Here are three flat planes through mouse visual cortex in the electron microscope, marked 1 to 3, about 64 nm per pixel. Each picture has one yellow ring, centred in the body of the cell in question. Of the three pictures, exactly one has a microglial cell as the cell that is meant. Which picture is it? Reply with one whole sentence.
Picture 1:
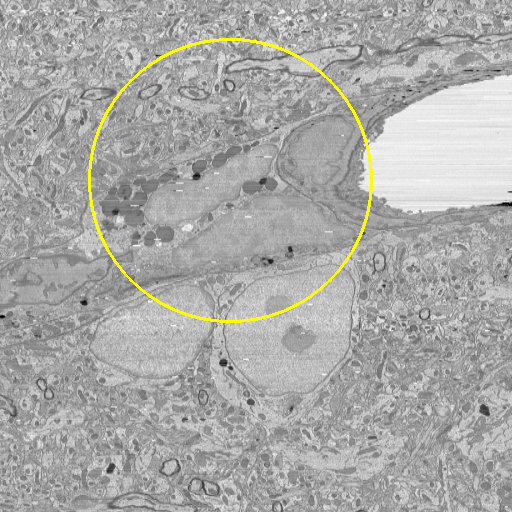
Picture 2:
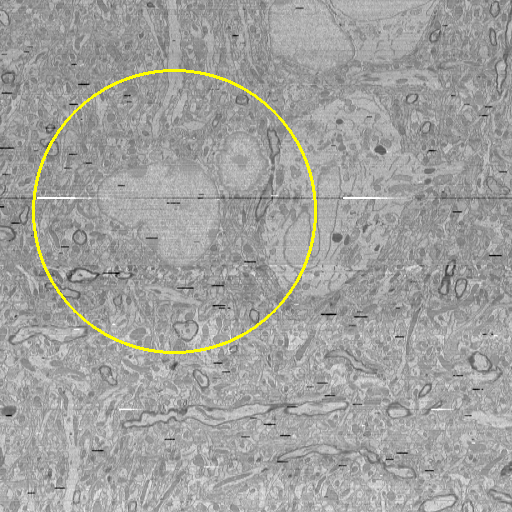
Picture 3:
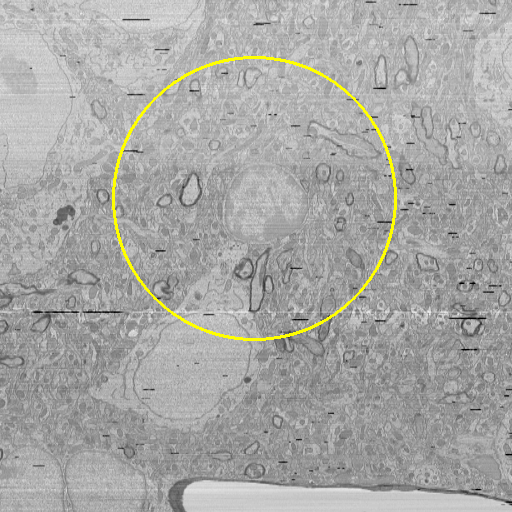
The cell in picture 1 is the microglial cell.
